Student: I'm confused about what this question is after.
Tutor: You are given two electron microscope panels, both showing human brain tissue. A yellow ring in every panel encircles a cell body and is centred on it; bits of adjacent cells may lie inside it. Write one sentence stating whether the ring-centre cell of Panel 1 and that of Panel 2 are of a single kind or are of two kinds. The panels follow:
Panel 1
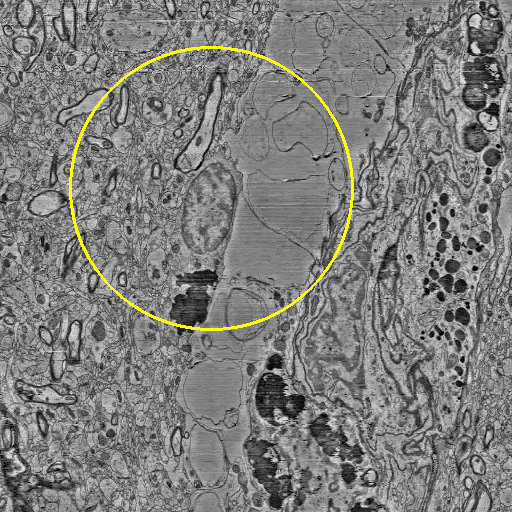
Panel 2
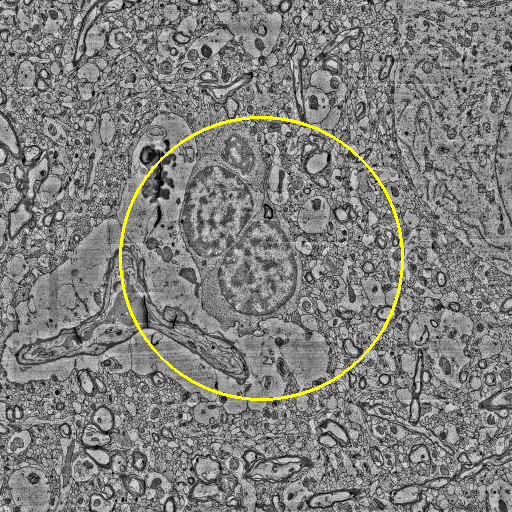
Here, the Panel 1 ring-centre cell and the Panel 2 ring-centre cell are of a single kind.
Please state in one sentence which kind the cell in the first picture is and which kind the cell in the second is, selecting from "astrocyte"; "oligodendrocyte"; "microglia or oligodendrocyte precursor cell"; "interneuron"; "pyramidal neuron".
In the first picture and in the second, the ring is centred on an oligodendrocyte.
